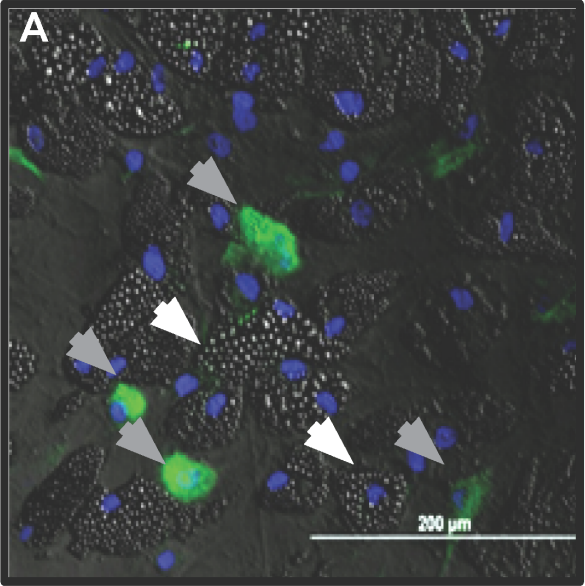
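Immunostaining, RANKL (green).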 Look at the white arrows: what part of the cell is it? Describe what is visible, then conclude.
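The cells under the white arrows are packed with many small, round, bright refractile droplets. The droplets fill oval cell bodies clustered across the field. On this evidence: lipid vacuoles.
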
